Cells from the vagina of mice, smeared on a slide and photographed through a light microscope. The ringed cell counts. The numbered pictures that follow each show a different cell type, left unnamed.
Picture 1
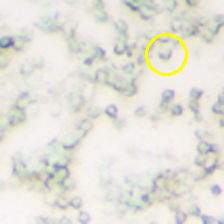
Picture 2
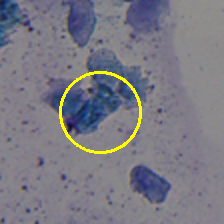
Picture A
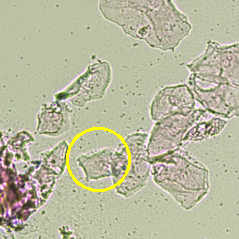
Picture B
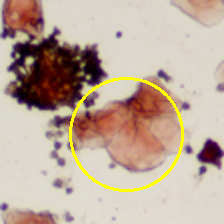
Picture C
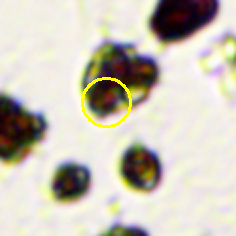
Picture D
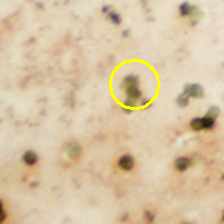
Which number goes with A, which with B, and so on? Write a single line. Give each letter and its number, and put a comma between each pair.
A 2, B 2, C 1, D 1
